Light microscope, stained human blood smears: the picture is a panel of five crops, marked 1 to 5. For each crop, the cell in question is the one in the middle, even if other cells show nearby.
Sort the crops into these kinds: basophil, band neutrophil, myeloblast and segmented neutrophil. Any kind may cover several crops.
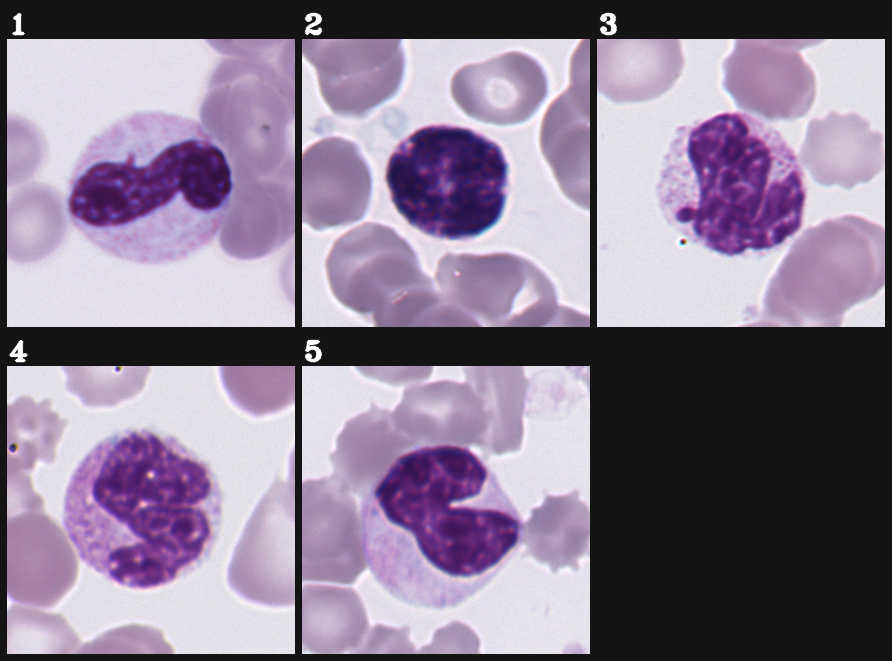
1: band neutrophil
2: basophil
3: segmented neutrophil
4: segmented neutrophil
5: band neutrophil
